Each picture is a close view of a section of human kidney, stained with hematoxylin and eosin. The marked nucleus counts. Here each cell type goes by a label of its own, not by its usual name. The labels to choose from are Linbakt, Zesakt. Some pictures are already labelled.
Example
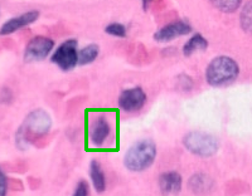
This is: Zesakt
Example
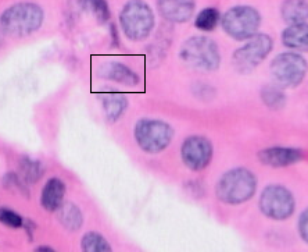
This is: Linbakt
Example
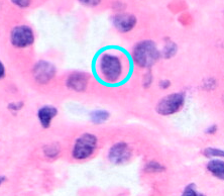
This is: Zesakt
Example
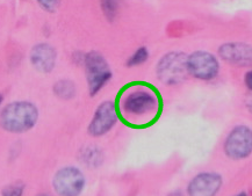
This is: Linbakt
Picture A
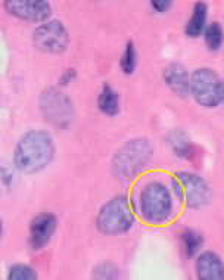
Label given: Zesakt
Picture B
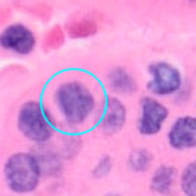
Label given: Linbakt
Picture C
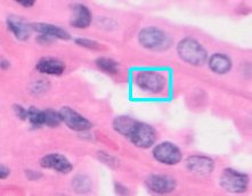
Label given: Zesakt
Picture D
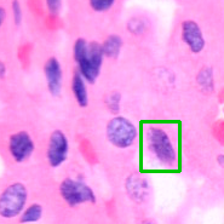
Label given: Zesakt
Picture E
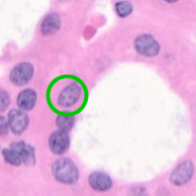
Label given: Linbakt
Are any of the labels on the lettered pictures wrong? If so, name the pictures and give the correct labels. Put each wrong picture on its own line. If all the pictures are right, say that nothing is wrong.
Wrong: A (Zesakt); correct: Linbakt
